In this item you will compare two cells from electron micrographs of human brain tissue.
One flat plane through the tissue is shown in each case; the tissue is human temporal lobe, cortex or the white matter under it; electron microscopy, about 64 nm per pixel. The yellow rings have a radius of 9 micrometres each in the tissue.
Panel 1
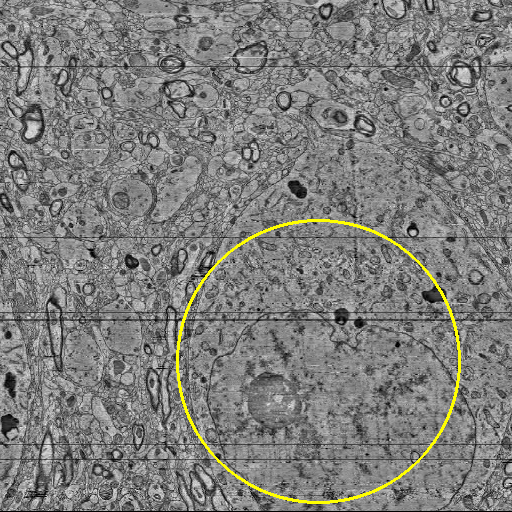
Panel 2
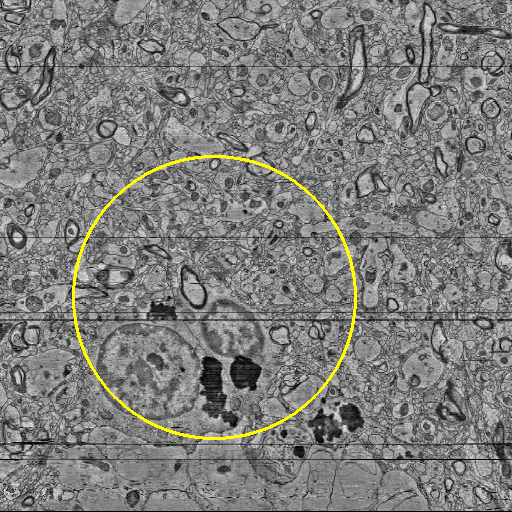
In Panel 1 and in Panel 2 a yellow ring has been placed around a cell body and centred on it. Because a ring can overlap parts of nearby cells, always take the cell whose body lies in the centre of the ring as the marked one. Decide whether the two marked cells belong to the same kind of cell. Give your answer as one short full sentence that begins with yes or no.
No, the two marked cells belong to two kinds of cell.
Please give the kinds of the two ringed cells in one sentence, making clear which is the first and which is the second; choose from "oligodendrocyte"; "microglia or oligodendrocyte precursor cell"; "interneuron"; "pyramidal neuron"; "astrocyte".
In the second picture the ringed cell is an oligodendrocyte; in the first it is a pyramidal neuron.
